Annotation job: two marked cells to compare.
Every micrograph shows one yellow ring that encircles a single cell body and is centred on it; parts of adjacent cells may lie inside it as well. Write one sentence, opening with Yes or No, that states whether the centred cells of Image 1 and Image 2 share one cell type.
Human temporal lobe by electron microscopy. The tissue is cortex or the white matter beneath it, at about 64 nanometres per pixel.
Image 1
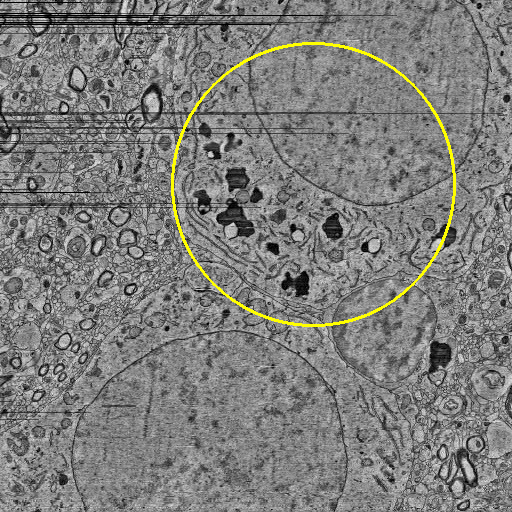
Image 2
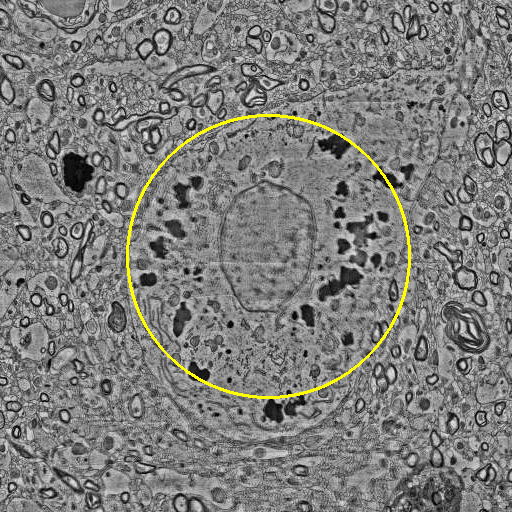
Yes, the cell centred in Image 1 shares its type with the cell centred in Image 2.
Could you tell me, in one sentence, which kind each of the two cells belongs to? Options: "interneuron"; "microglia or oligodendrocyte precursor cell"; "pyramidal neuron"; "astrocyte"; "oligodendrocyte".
In each of the two pictures, the ringed cell is a pyramidal neuron.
